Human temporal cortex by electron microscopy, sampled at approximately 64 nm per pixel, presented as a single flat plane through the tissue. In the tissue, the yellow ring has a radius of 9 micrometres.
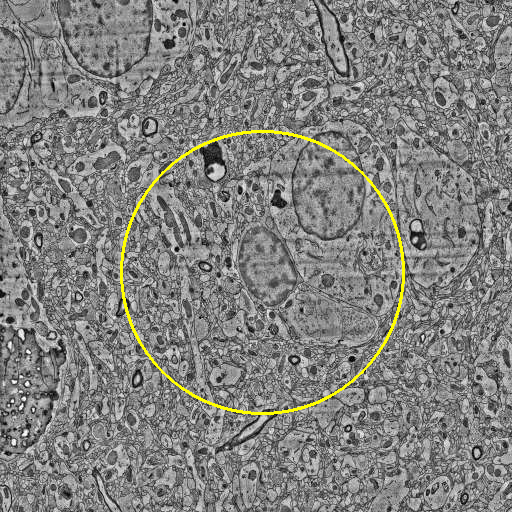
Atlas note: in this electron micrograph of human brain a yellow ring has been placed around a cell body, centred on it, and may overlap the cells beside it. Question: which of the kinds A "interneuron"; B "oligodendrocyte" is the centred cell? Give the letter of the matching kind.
B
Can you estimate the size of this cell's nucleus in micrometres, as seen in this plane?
About 5 micrometres by about 3 micrometres in this plane.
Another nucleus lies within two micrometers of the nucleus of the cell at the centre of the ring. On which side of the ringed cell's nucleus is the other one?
The second nucleus sits to the upper right of it.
